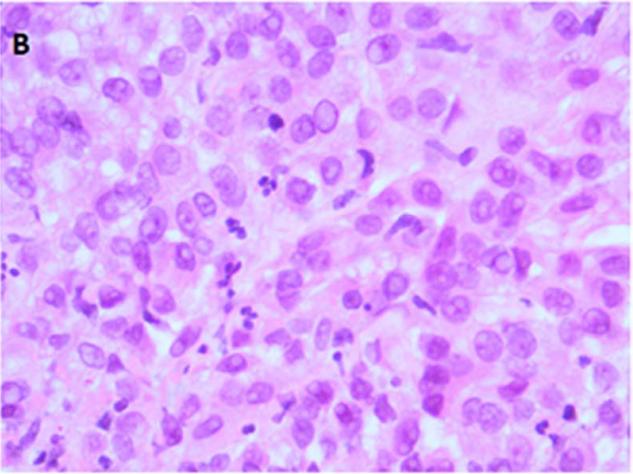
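Sheets of large epithelioid tumour cells fill this high-power field, with neutrophils scattered in the stroma between them. The tumour cells are polygonal, with moderate amounts of pale pink cytoplasm and ill-defined borders. Their nuclei are large, round to oval and vesicular, with fine chromatin, smooth membranes and one or more distinct nucleoli.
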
